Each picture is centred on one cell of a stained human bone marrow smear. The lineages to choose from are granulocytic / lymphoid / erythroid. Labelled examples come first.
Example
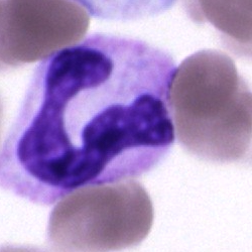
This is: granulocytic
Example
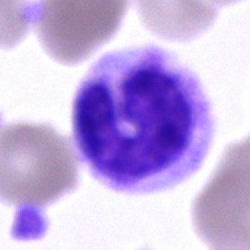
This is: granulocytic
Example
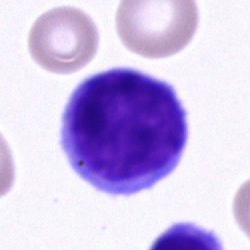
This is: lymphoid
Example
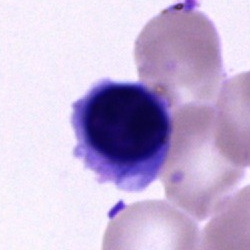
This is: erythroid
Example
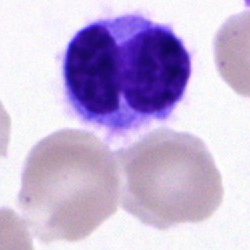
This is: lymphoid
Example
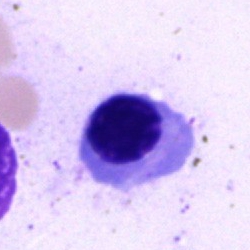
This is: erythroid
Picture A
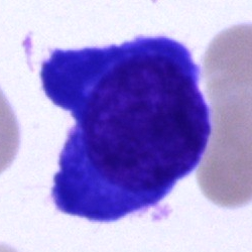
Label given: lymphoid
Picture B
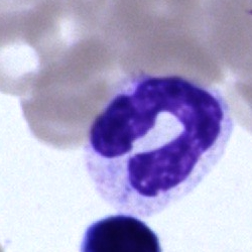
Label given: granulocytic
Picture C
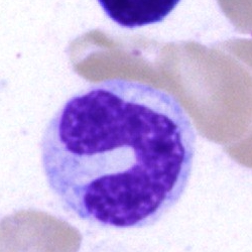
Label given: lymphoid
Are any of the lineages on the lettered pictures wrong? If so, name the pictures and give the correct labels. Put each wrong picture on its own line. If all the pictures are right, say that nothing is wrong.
C: not lymphoid but granulocytic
